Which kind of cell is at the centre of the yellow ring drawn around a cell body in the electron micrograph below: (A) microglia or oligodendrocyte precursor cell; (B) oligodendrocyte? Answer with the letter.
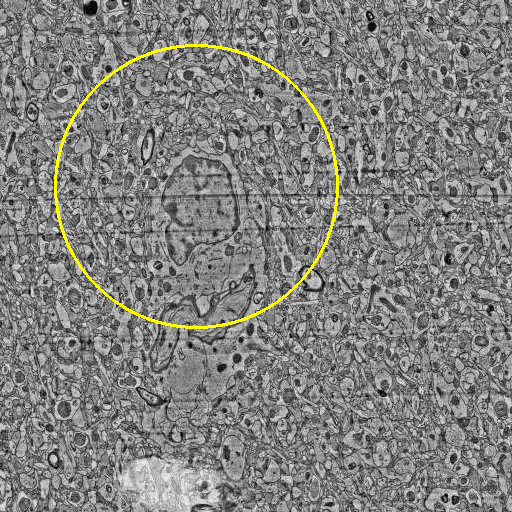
A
